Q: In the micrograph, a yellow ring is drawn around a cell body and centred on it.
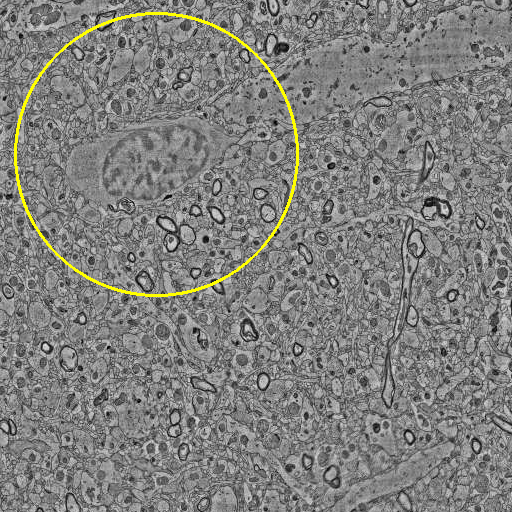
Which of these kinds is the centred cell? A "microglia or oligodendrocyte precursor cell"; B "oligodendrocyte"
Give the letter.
B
